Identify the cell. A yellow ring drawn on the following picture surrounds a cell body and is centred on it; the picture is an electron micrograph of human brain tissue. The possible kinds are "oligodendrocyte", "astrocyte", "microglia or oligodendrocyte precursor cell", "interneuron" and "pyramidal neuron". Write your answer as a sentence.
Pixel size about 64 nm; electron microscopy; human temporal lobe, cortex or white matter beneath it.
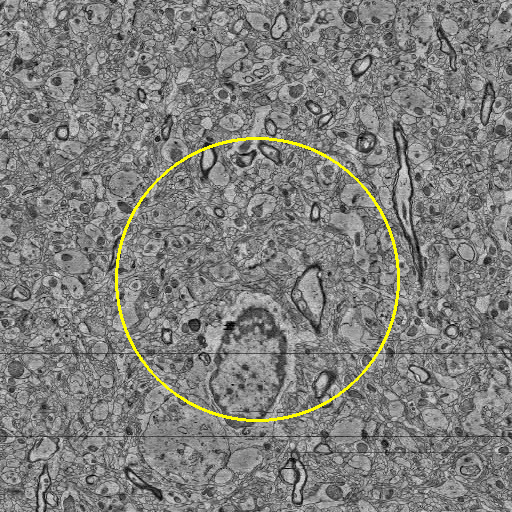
The cell identified by the ring is a microglial cell or oligodendrocyte precursor cell.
